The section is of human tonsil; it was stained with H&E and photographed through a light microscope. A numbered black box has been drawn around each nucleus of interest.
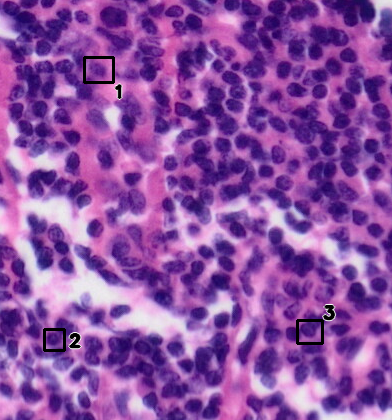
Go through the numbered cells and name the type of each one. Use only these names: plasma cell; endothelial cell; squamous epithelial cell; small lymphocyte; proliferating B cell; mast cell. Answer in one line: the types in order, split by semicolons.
endothelial cell; small lymphocyte; small lymphocyte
